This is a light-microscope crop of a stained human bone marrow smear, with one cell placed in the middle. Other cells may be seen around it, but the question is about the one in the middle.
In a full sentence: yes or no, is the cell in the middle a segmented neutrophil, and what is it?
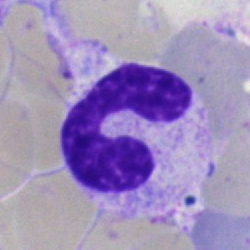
No, the identification should read a band neutrophil, not a segmented neutrophil, for the central cell.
